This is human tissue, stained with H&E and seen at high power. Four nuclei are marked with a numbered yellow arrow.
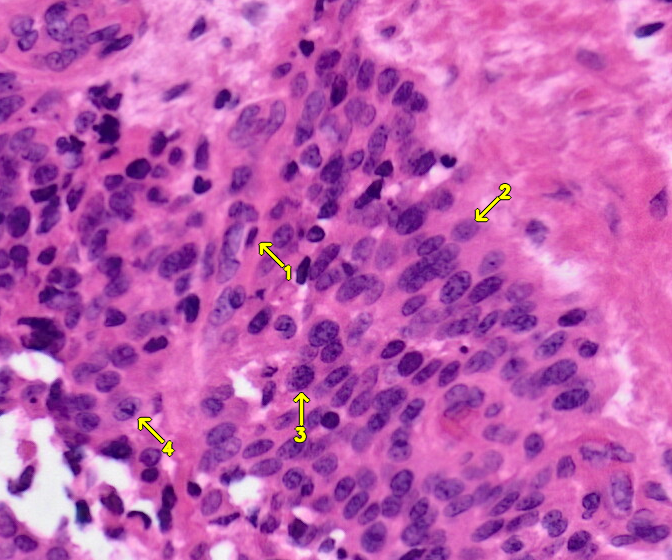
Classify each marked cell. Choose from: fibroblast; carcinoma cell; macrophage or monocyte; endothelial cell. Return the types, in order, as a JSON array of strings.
["endothelial cell", "carcinoma cell", "carcinoma cell", "macrophage or monocyte"]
